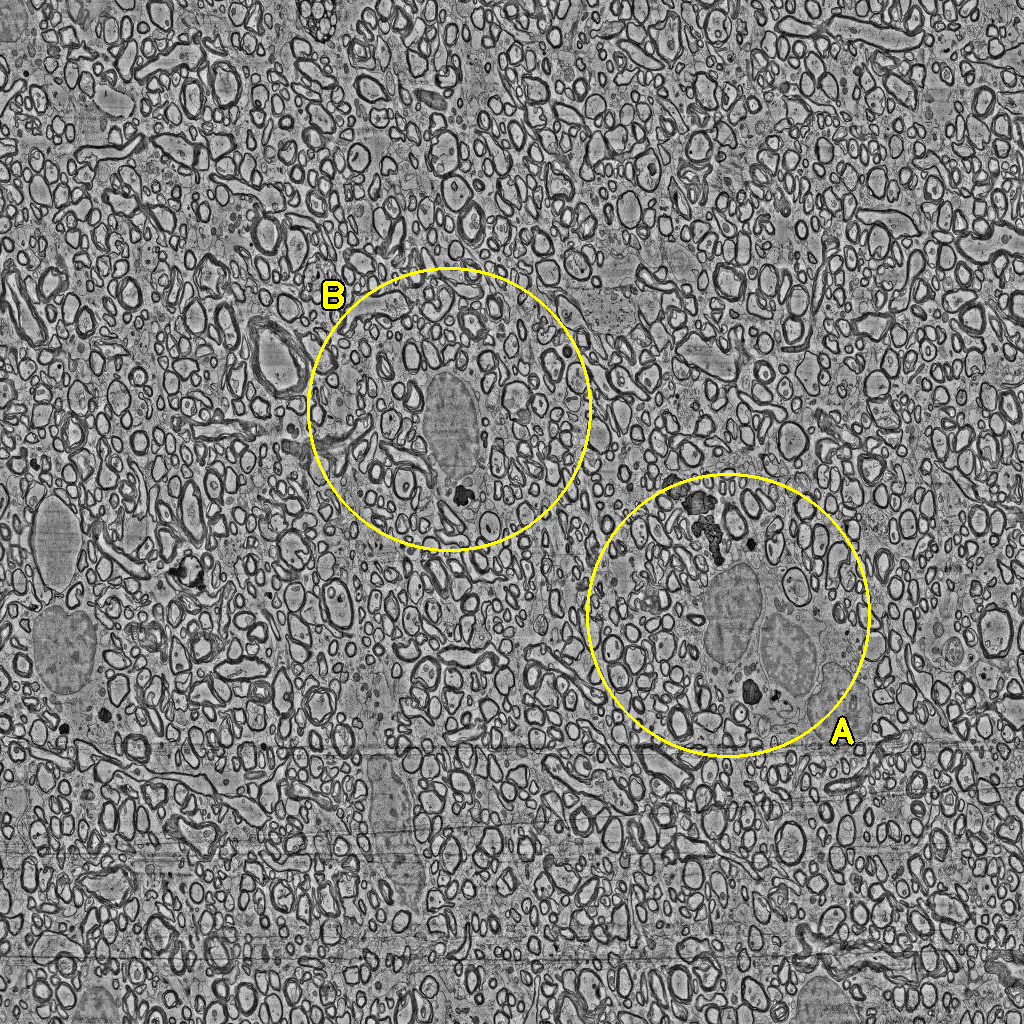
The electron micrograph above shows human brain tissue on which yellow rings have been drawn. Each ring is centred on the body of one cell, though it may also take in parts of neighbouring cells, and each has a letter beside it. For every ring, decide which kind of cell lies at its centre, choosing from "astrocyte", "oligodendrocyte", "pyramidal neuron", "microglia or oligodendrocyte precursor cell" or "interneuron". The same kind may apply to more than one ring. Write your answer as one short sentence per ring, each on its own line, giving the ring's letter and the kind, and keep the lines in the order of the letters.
Ring A is centred on an oligodendrocyte.
Ring B is centred on an oligodendrocyte.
